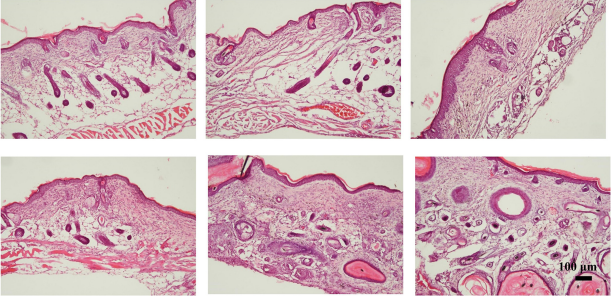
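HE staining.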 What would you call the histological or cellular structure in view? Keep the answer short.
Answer: hair follicle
